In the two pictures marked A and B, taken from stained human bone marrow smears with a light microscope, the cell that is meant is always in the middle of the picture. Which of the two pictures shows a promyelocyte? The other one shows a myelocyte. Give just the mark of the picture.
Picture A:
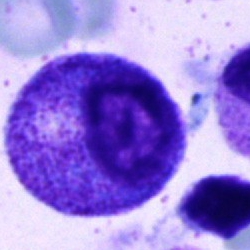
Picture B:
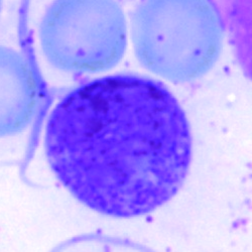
B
